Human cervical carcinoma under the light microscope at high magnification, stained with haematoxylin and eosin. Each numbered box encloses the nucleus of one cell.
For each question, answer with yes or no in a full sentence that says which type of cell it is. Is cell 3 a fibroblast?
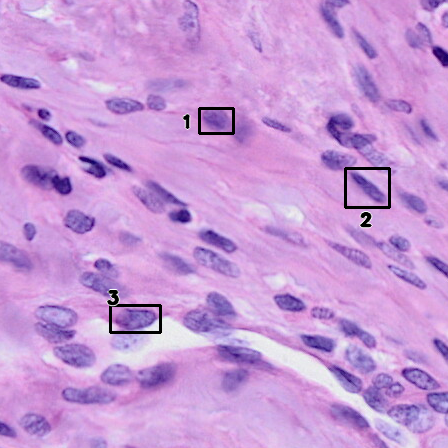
No, in terms of cell type, cell 3 is an endothelial cell, not a fibroblast.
